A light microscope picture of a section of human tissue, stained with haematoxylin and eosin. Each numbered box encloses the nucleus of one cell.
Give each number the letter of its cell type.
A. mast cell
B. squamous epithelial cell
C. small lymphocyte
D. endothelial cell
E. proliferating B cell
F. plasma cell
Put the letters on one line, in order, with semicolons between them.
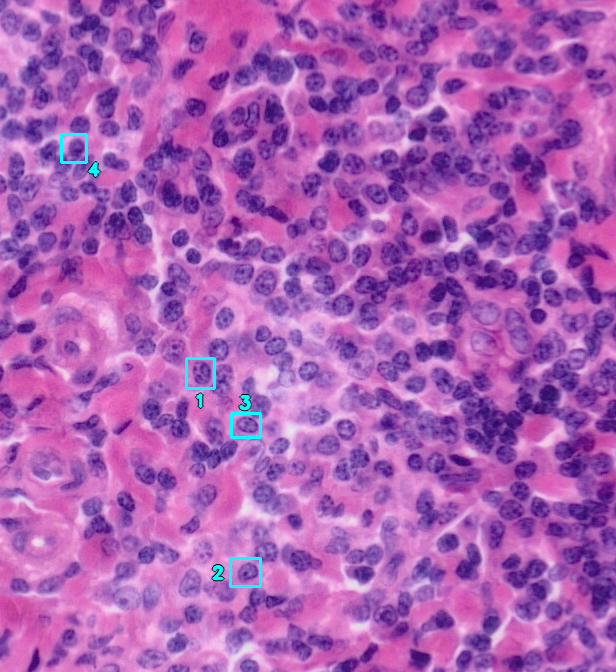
F; F; F; C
